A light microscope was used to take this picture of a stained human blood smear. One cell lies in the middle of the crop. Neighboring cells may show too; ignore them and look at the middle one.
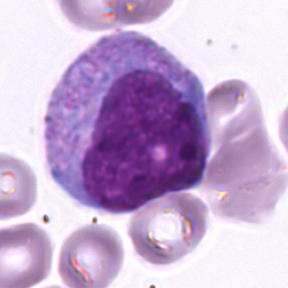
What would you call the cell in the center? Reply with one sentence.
The crop shows a promyelocyte in its centre.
